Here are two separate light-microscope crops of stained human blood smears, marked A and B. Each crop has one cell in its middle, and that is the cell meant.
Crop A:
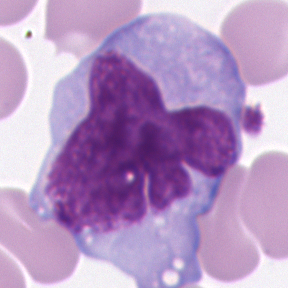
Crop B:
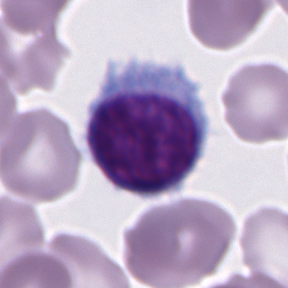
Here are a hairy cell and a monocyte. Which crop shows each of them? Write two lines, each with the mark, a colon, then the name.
A: monocyte
B: hairy cell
